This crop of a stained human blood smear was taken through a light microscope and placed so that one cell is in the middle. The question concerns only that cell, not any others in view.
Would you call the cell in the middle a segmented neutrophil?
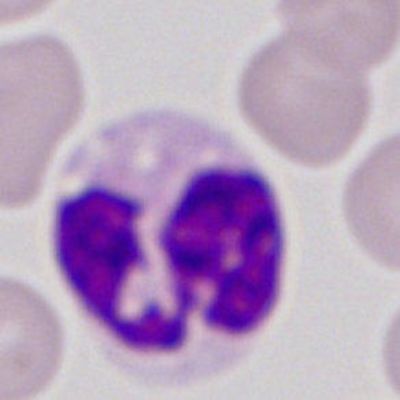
yes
